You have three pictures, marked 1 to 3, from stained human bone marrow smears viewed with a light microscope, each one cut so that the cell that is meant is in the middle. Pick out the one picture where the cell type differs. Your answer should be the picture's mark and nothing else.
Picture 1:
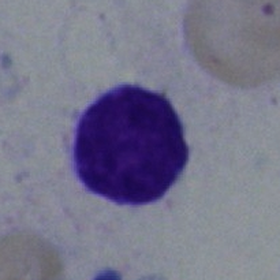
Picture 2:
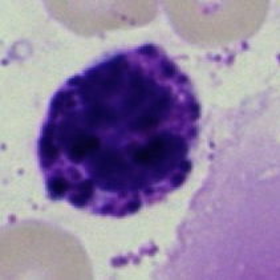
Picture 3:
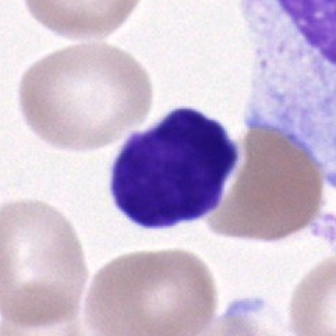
2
